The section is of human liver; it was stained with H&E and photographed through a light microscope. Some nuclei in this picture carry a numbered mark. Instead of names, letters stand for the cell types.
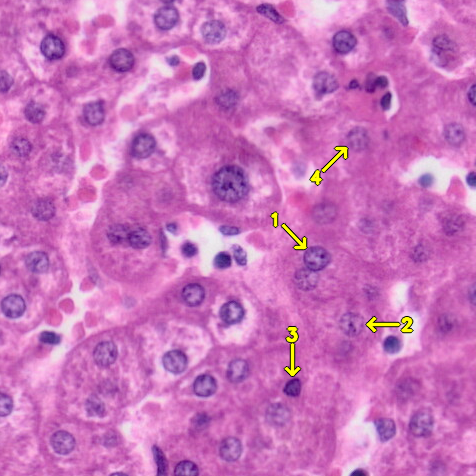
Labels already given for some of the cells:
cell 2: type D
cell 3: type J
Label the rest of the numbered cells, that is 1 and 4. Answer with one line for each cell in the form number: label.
1: type D
4: type D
